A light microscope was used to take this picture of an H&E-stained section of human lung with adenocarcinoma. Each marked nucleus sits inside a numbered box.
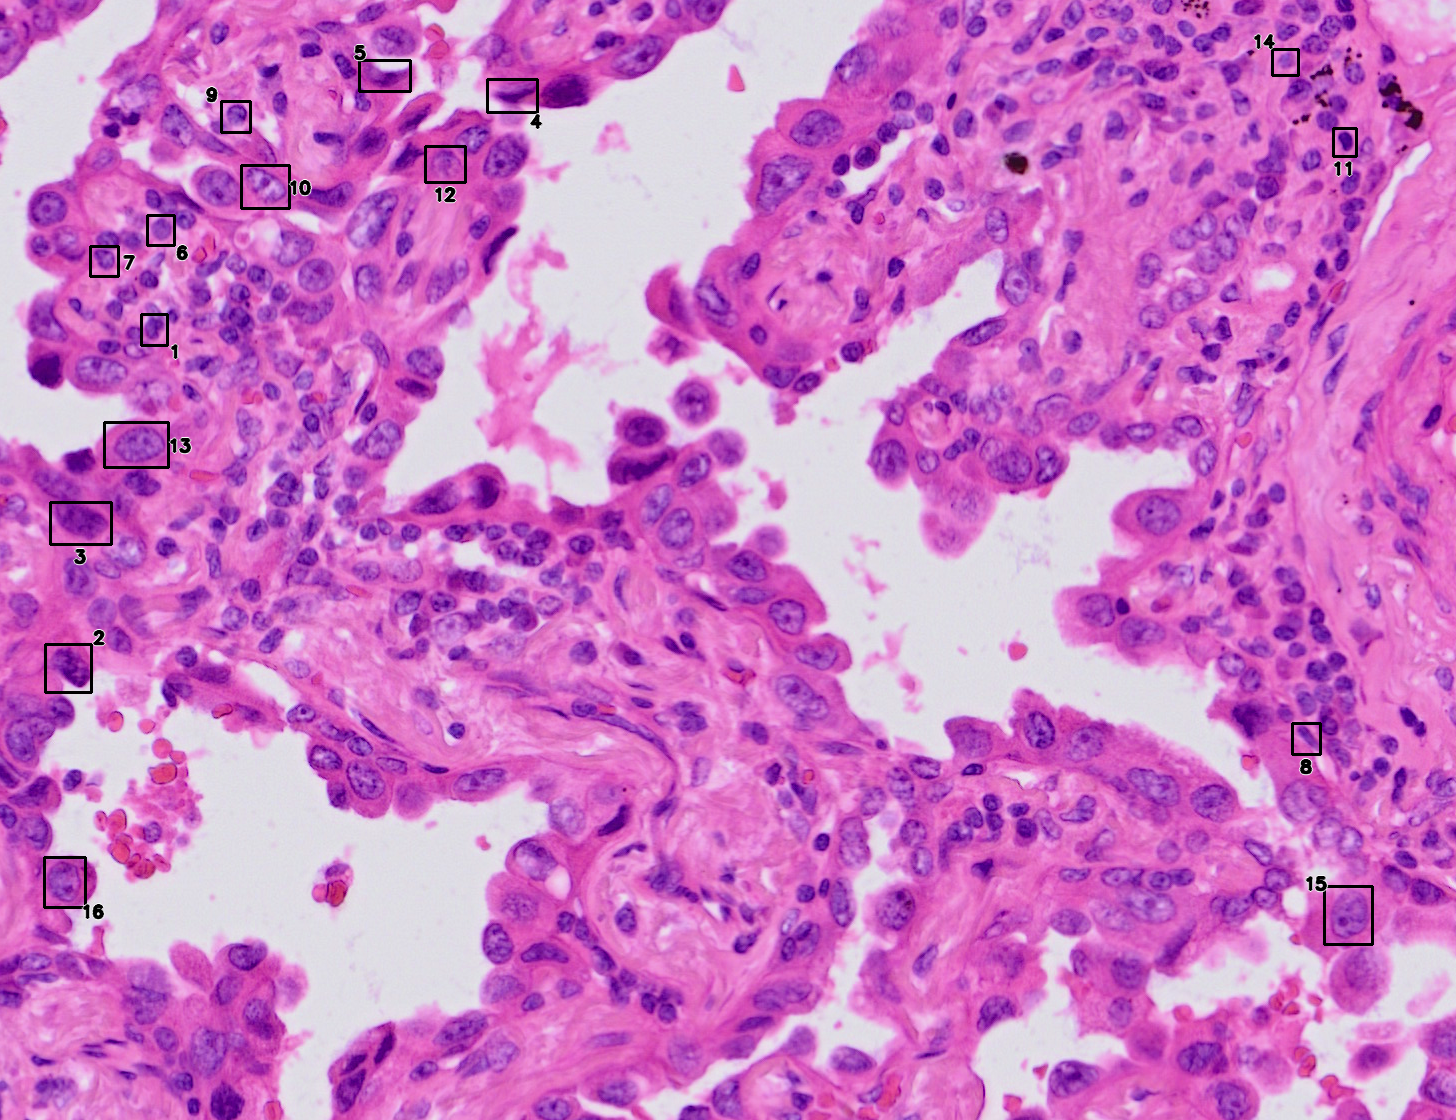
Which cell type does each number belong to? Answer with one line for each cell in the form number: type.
1: lymphocyte
2: carcinoma cell
3: carcinoma cell
4: carcinoma cell
5: carcinoma cell
6: lymphocyte
7: lymphocyte
8: lymphocyte
9: lymphocyte
10: carcinoma cell
11: lymphocyte
12: carcinoma cell
13: carcinoma cell
14: lymphocyte
15: carcinoma cell
16: carcinoma cell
